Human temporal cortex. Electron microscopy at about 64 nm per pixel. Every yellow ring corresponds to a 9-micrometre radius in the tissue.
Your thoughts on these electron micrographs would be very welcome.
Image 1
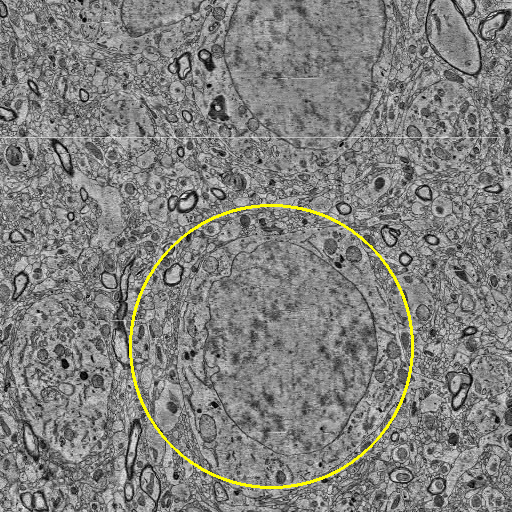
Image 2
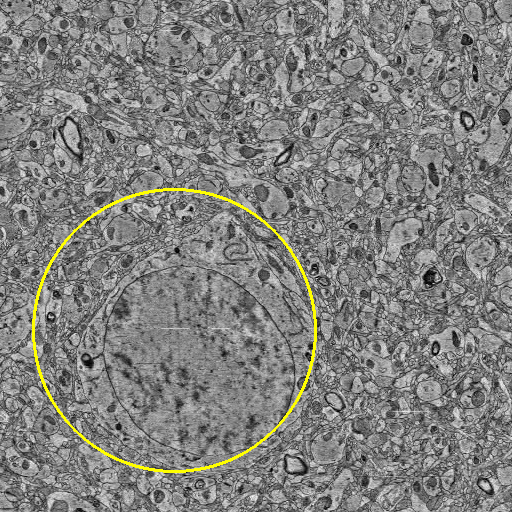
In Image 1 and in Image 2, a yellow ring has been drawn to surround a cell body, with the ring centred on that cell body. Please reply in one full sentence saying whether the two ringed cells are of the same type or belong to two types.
The ringed cells in Image 1 and Image 2 are of the same type.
